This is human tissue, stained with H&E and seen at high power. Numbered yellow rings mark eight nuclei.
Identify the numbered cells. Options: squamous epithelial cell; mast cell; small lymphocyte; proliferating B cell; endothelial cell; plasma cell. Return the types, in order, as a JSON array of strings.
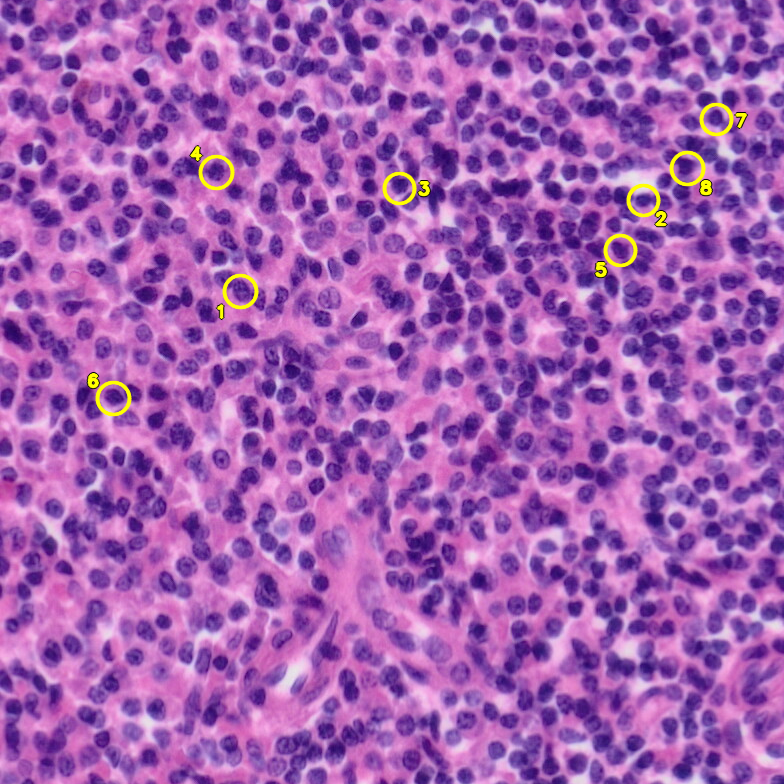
["plasma cell", "small lymphocyte", "small lymphocyte", "plasma cell", "small lymphocyte", "plasma cell", "small lymphocyte", "small lymphocyte"]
